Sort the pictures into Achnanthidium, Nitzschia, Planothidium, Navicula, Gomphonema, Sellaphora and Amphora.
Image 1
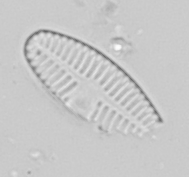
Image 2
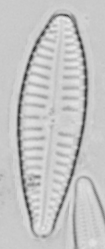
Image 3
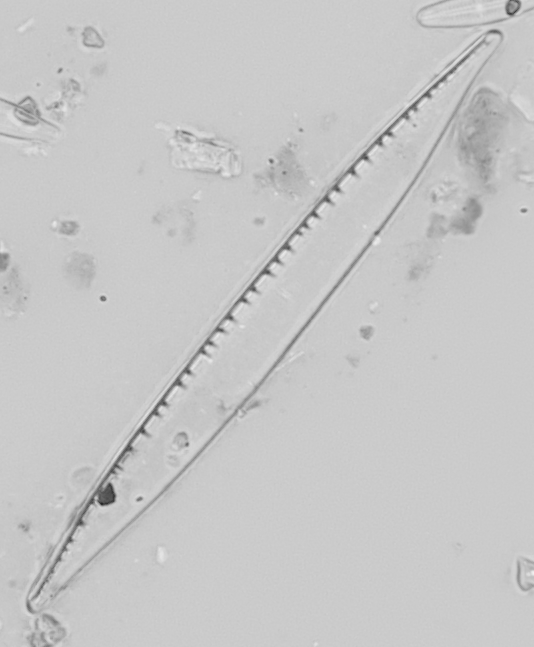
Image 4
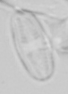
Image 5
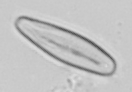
Planothidium: 1
Gomphonema: 2
Nitzschia: 3
Sellaphora: 4
Achnanthidium: 5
